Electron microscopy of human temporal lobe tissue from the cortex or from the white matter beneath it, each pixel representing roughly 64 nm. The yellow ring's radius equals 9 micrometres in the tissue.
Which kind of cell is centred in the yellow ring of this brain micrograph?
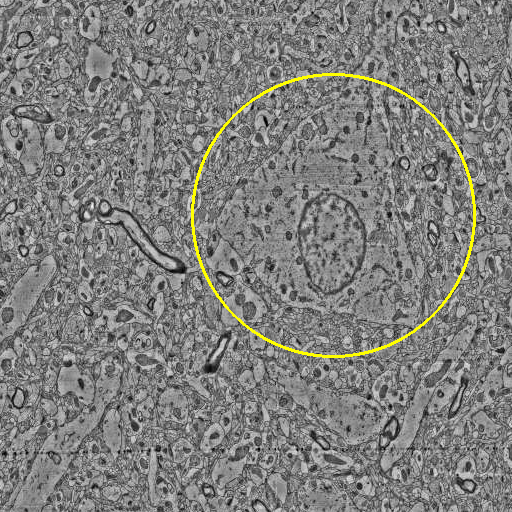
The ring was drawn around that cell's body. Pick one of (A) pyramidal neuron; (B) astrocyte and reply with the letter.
A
